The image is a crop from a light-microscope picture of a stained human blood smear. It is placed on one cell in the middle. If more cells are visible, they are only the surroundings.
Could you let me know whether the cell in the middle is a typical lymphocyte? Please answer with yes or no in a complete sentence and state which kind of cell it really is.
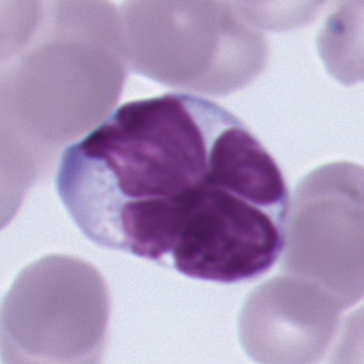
No, that is not a typical lymphocyte; the middle cell is a large granular lymphocyte.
